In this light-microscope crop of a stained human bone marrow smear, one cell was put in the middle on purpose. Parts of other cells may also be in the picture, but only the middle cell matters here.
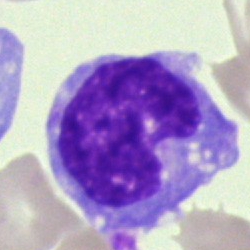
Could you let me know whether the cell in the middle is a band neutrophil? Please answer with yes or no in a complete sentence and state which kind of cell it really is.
No, in the middle of the crop there is a monocyte rather than a band neutrophil.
